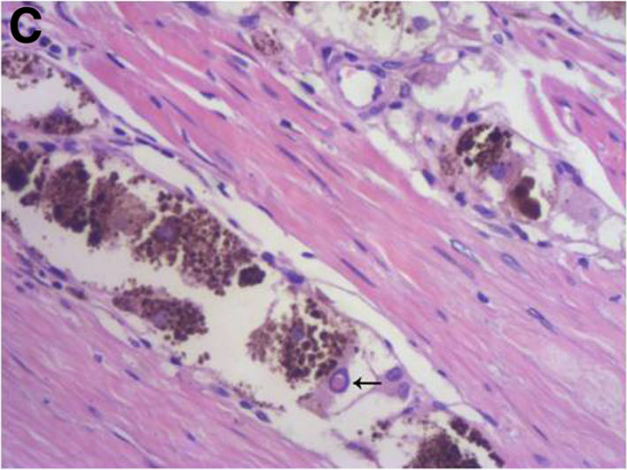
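Groups of tumor cells full of coarse brown granules lie in spaces among pink bundles of elongated spindle cells. One nucleus, marked by the arrow, holds a round pale body with a sharp rim. This is a nuclear pseudoinclusion in a pigmented tumor cell.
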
